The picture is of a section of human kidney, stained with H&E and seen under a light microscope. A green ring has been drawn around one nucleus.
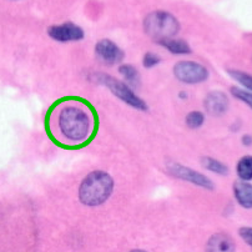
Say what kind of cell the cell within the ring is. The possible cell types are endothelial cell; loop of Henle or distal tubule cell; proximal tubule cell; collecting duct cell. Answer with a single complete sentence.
The cell type of the cell within the ring is that of a proximal tubule cell.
